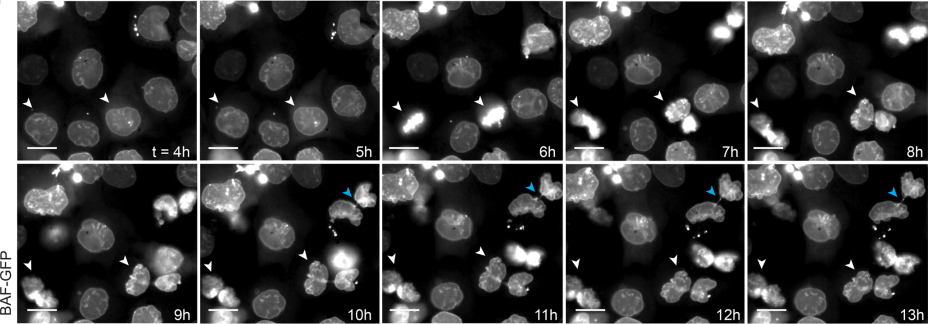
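A series of grey fluorescence frames follows the same field of cultured cells over time, with labelled nuclei as bright oval shapes in a dimmer cytoplasm. Over the frames, marked cells condense their chromatin into compact bright masses and then give rise to pairs of smaller, irregular, lobed daughter nuclei. Between some daughter nuclei a thin bright strand of chromatin remains stretched across for several frames.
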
